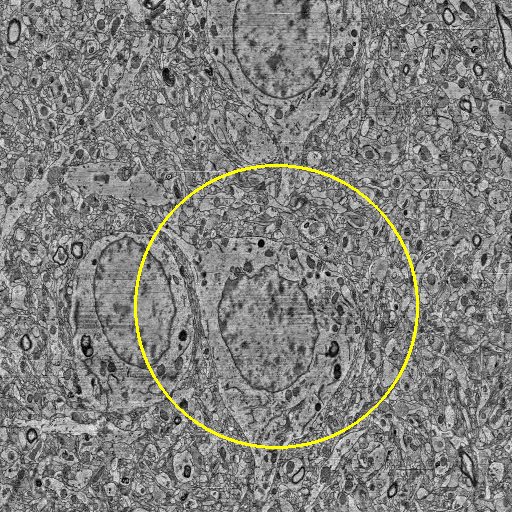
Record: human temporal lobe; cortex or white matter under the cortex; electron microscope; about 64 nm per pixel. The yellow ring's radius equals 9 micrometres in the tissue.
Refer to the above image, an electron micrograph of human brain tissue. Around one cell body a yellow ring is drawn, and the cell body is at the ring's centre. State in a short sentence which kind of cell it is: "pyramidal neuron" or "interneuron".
The centre of the ring falls on a pyramidal neuron.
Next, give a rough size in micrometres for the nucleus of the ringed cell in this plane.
Roughly 8 by 6 micrometres in this plane, for the nucleus of the ringed cell.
